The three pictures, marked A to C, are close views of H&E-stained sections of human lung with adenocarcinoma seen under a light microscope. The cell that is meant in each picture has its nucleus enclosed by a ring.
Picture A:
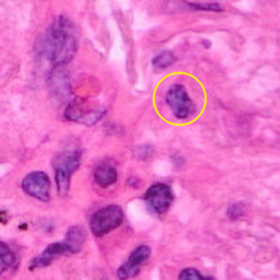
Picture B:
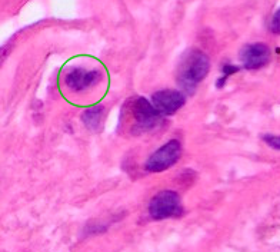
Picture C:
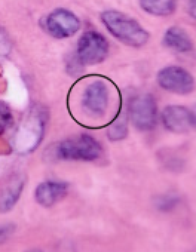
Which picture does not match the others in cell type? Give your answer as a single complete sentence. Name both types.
The different one is picture B; it shows a plasma cell, whereas all the others show mast cells.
